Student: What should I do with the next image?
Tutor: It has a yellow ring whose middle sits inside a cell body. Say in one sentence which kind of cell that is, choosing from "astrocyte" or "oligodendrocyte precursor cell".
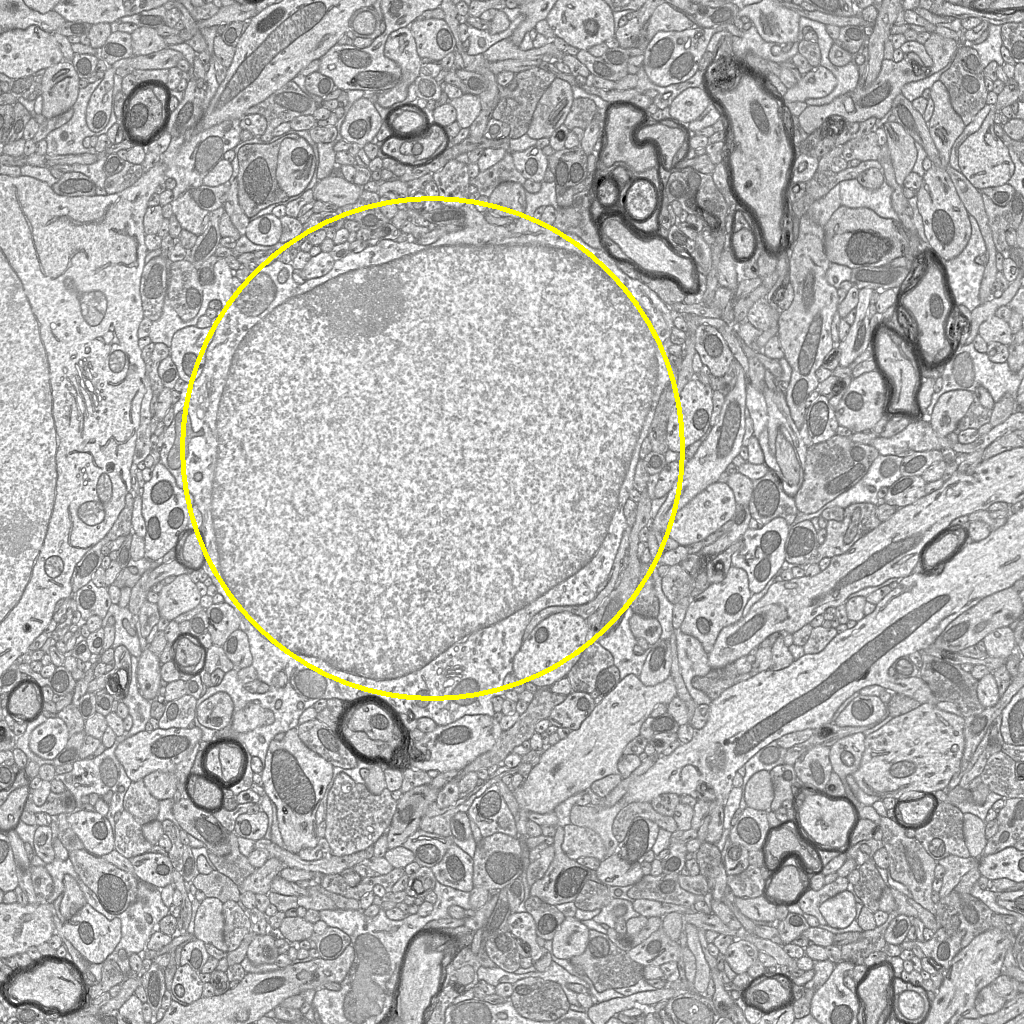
The ring's centre is occupied by an astrocyte.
